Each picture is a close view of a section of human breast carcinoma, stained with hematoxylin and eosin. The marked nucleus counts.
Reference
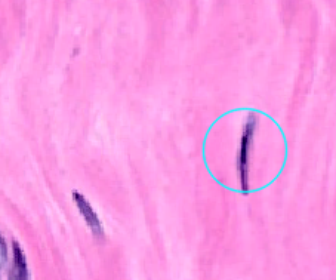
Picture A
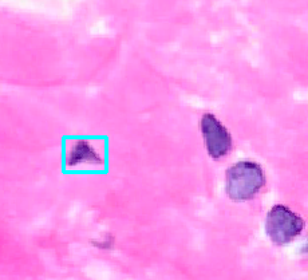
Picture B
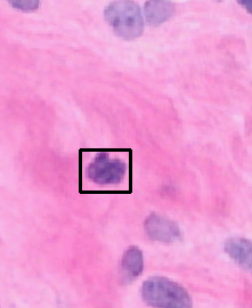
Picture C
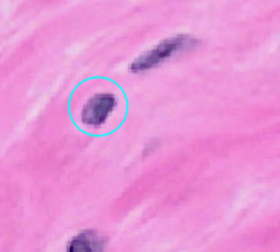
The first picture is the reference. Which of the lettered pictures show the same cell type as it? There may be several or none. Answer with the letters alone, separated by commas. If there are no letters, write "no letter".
A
